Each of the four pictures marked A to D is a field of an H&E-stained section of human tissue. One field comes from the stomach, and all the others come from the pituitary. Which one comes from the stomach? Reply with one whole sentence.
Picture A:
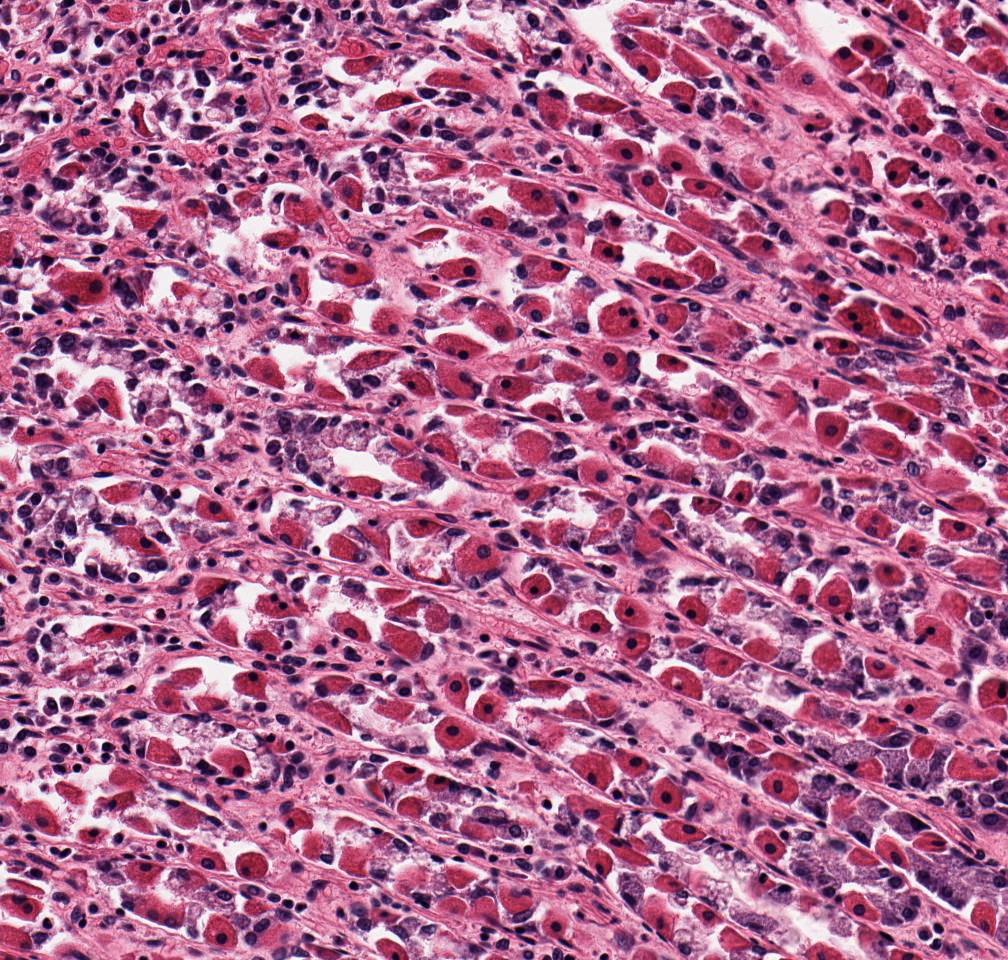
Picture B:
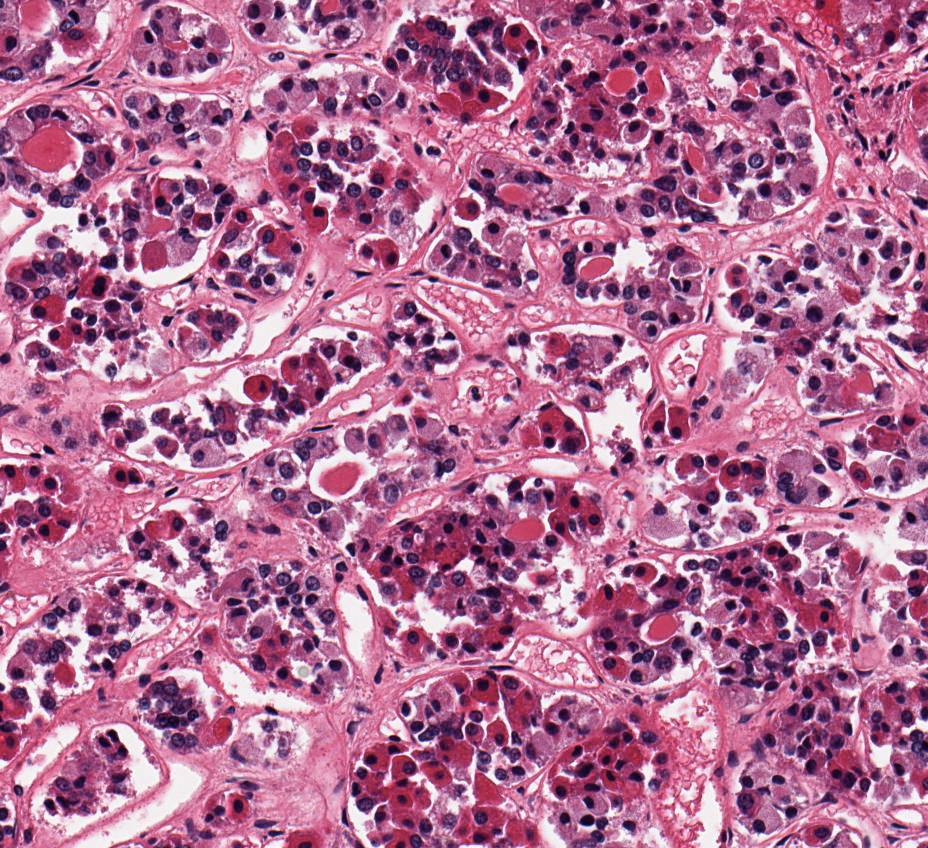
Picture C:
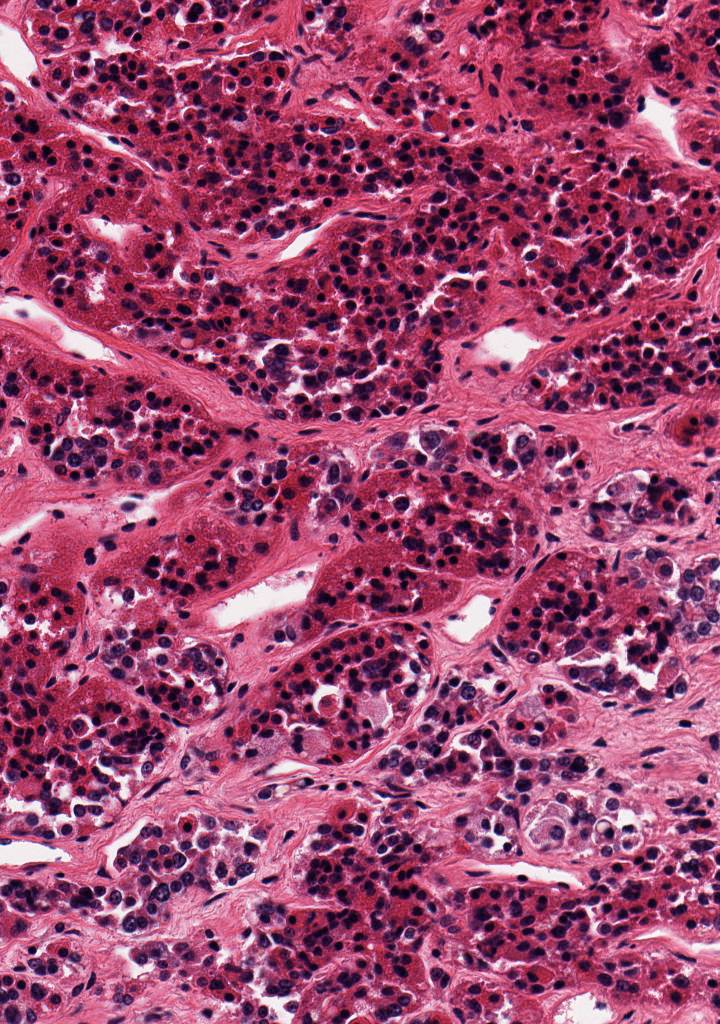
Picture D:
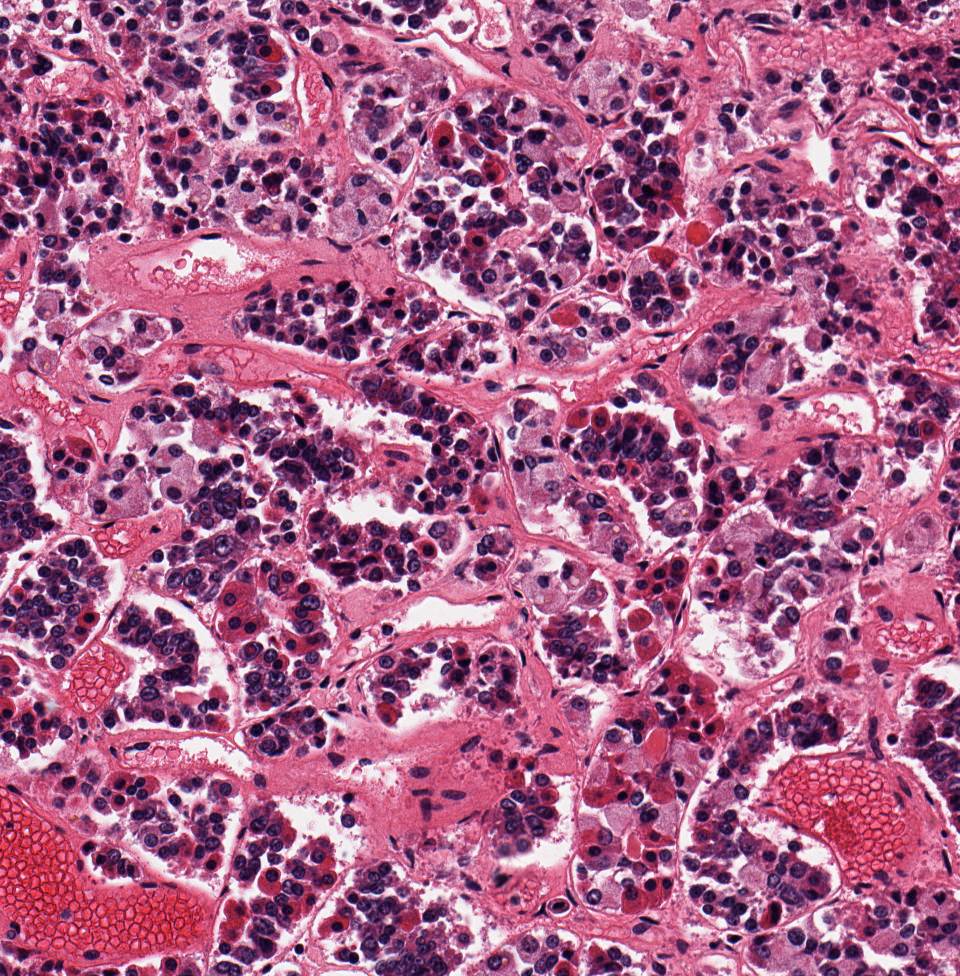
Picture A comes from the stomach.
